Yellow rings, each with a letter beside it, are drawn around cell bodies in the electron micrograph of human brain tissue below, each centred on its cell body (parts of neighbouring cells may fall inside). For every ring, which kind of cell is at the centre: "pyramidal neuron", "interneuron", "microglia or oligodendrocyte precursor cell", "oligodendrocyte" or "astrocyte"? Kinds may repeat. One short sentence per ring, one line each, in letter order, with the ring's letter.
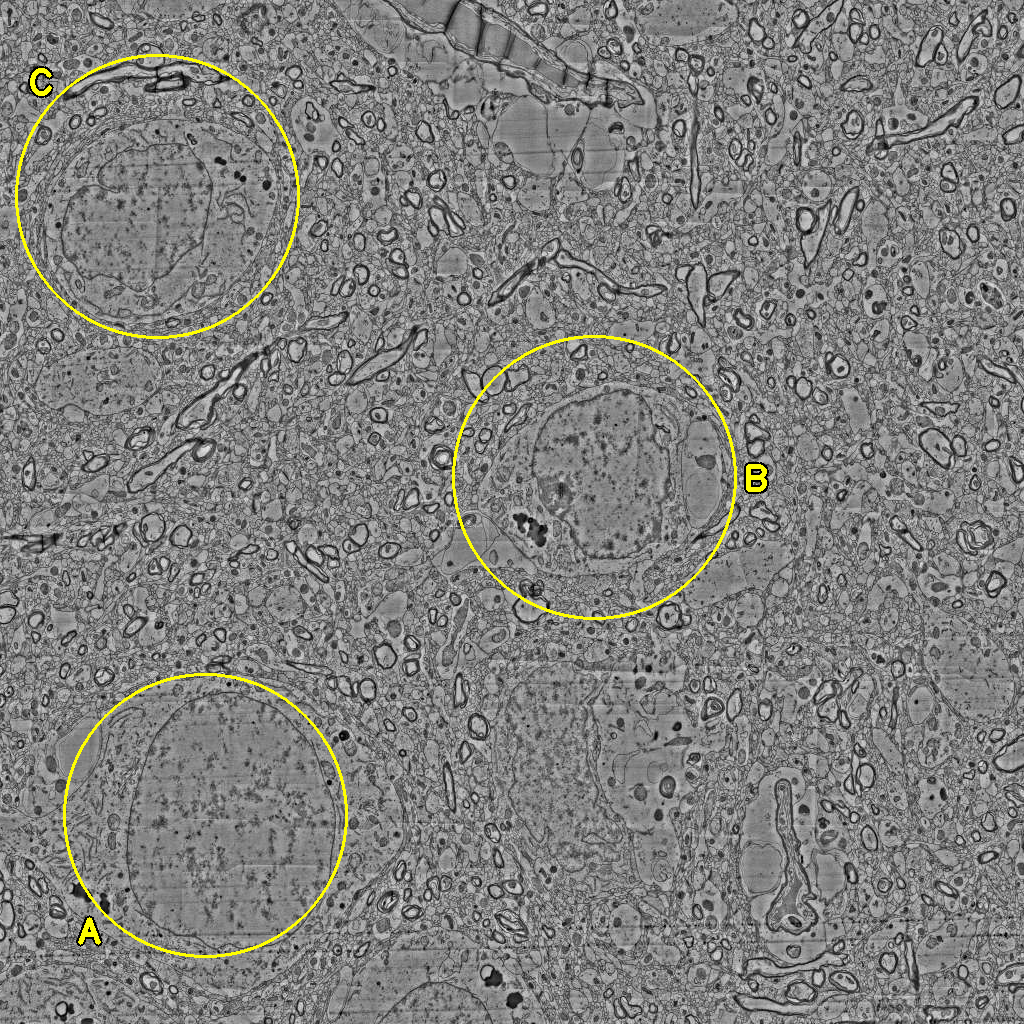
The cell in ring A is a pyramidal neuron.
The cell in ring B is an interneuron.
The cell in ring C is a pyramidal neuron.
